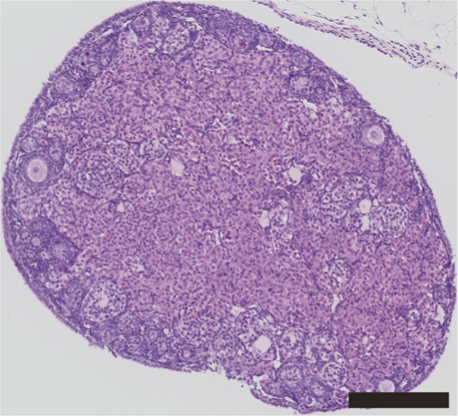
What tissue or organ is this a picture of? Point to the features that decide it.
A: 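An oval organ section with a thin capsule-like edge. Many round follicles containing a central large cell are scattered mainly near the periphery. Dense pink-purple stromal tissue fills the interior between the follicles. That points to this answer: ovaries.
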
